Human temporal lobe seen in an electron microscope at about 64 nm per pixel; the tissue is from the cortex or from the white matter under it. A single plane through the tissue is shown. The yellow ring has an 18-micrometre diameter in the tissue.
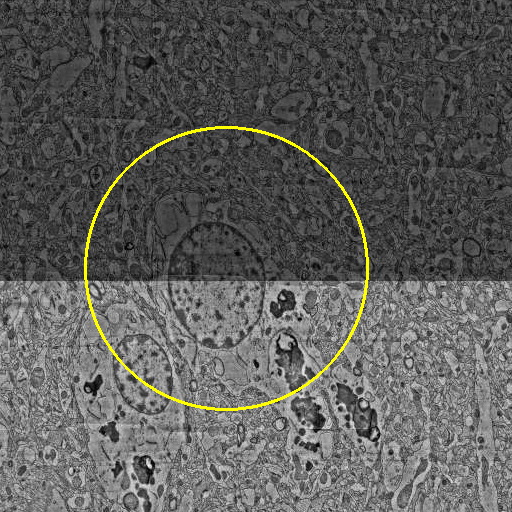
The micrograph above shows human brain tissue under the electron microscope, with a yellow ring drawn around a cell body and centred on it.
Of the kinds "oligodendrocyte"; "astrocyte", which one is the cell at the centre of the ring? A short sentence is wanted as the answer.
The one at the centre of the ring is an astrocyte.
